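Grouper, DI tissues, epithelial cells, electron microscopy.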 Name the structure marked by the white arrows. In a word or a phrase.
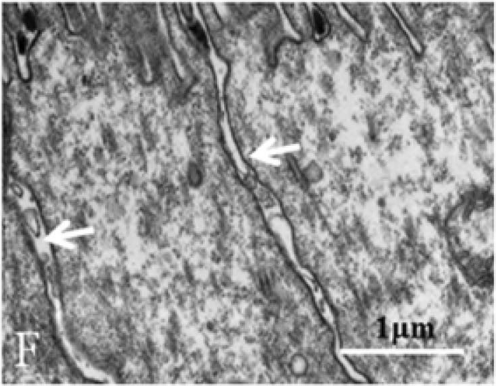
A: intercellular junctions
